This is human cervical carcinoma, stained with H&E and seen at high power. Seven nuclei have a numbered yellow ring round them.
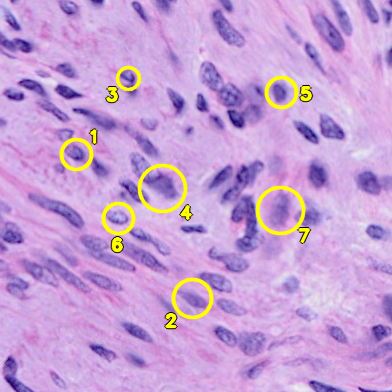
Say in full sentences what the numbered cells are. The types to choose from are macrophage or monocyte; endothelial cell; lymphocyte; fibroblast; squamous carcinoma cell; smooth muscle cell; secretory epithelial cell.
Cell 1 is a smooth muscle cell, cell 2 is a smooth muscle cell, cell 3 is a smooth muscle cell, cell 4 is a fibroblast, cell 5 is a fibroblast, cell 6 is a smooth muscle cell and cell 7 is an endothelial cell.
